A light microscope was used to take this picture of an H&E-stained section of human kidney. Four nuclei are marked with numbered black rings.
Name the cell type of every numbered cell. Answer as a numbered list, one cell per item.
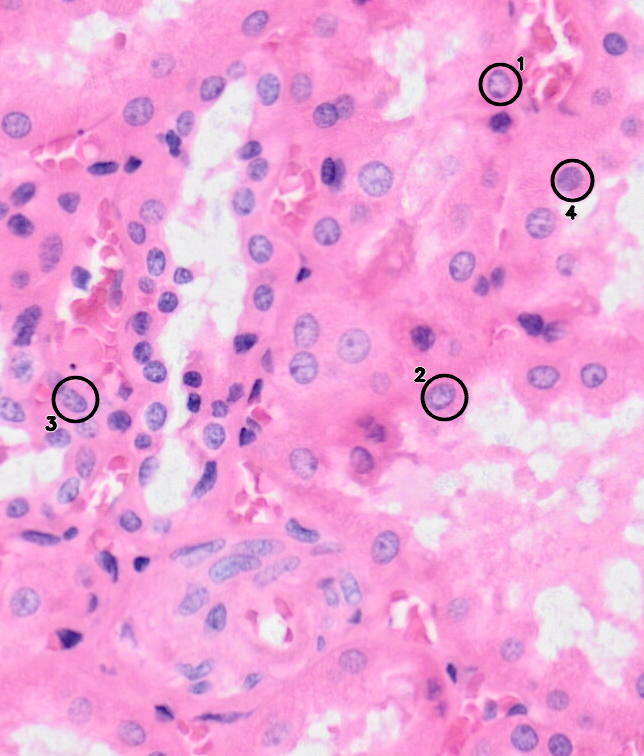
1. proximal tubule cell
2. proximal tubule cell
3. collecting duct cell
4. proximal tubule cell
